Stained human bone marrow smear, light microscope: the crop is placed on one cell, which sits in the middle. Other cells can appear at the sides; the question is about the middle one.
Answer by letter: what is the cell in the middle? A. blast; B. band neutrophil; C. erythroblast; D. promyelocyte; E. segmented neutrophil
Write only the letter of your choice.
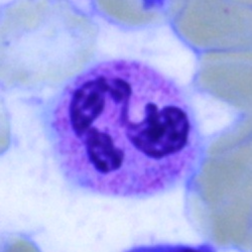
E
